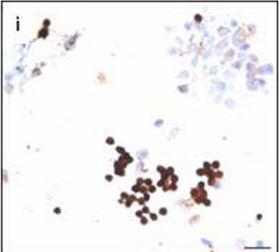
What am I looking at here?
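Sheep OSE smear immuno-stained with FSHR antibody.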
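In the lower middle lie clusters of small round cells densely stained dark brown, crowded together in grape-like groups, with a few more brown cells scattered singly and at the upper left. The contrast between the compact dark brown small cells and the pale bluish sheet is the main thing to see.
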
